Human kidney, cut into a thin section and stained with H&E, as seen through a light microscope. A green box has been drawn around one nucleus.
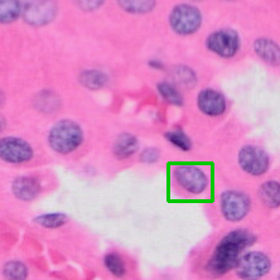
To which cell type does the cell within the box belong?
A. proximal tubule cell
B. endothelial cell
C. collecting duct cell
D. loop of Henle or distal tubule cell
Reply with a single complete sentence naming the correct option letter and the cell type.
Here the right answer is D, with the cell within the box being a loop of Henle or distal tubule cell.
